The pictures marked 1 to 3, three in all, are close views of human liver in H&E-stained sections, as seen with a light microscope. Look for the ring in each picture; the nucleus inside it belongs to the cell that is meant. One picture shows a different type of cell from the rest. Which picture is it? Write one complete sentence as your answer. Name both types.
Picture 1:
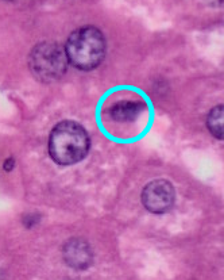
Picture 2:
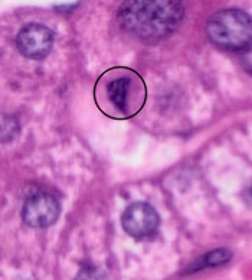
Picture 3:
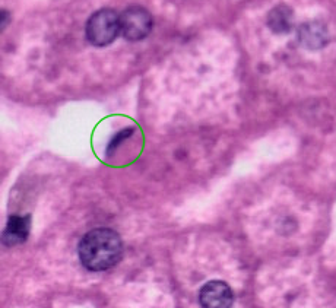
All pictures except 3 show “fibroblasts or stellate cells”; picture 3 shows an endothelial cell.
